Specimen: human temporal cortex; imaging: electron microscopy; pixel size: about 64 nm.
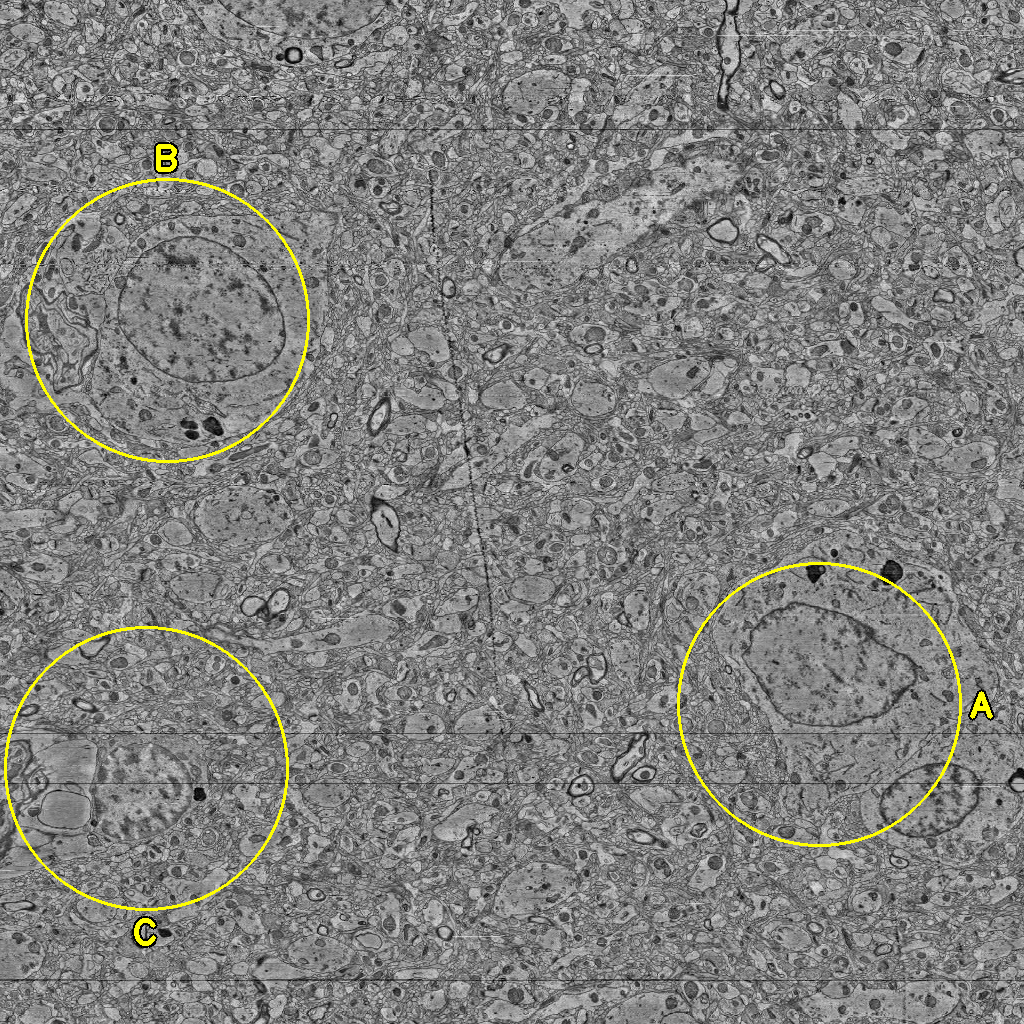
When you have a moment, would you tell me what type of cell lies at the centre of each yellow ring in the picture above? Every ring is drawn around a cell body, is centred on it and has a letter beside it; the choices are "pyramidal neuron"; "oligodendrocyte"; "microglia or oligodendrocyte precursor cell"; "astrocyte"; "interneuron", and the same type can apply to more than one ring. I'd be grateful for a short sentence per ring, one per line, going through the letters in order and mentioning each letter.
The cell at the centre of ring A is a pyramidal neuron.
The cell at the centre of ring B is a pyramidal neuron.
The cell at the centre of ring C is an oligodendrocyte.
